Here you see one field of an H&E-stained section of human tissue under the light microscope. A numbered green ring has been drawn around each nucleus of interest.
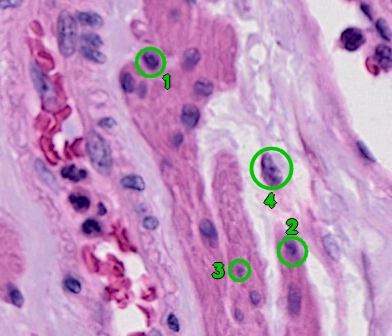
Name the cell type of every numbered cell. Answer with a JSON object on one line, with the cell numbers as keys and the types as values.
{"1": "smooth muscle cell", "2": "smooth muscle cell", "3": "smooth muscle cell", "4": "fibroblast"}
